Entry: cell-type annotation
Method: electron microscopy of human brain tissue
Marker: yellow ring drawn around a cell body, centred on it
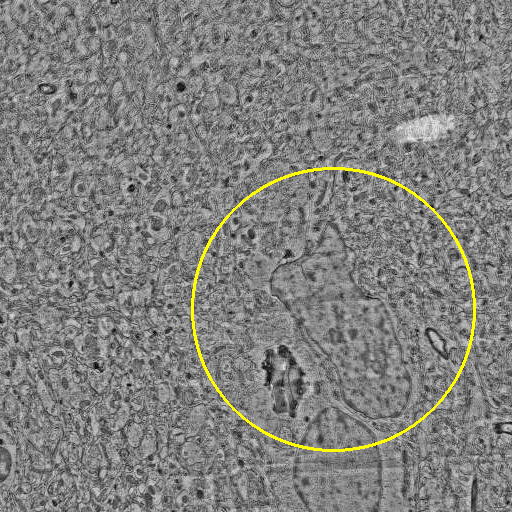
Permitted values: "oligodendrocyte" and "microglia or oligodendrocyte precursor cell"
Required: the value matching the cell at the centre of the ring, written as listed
microglia or oligodendrocyte precursor cell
